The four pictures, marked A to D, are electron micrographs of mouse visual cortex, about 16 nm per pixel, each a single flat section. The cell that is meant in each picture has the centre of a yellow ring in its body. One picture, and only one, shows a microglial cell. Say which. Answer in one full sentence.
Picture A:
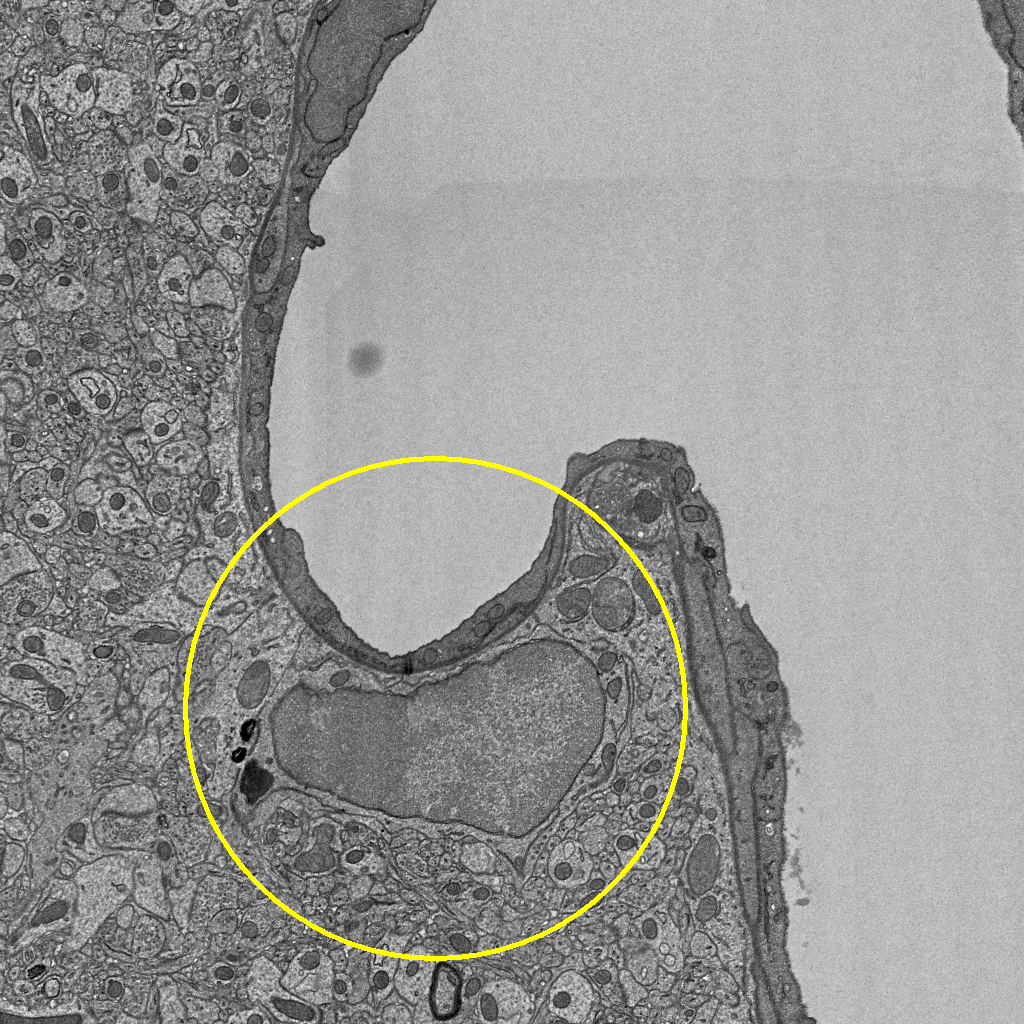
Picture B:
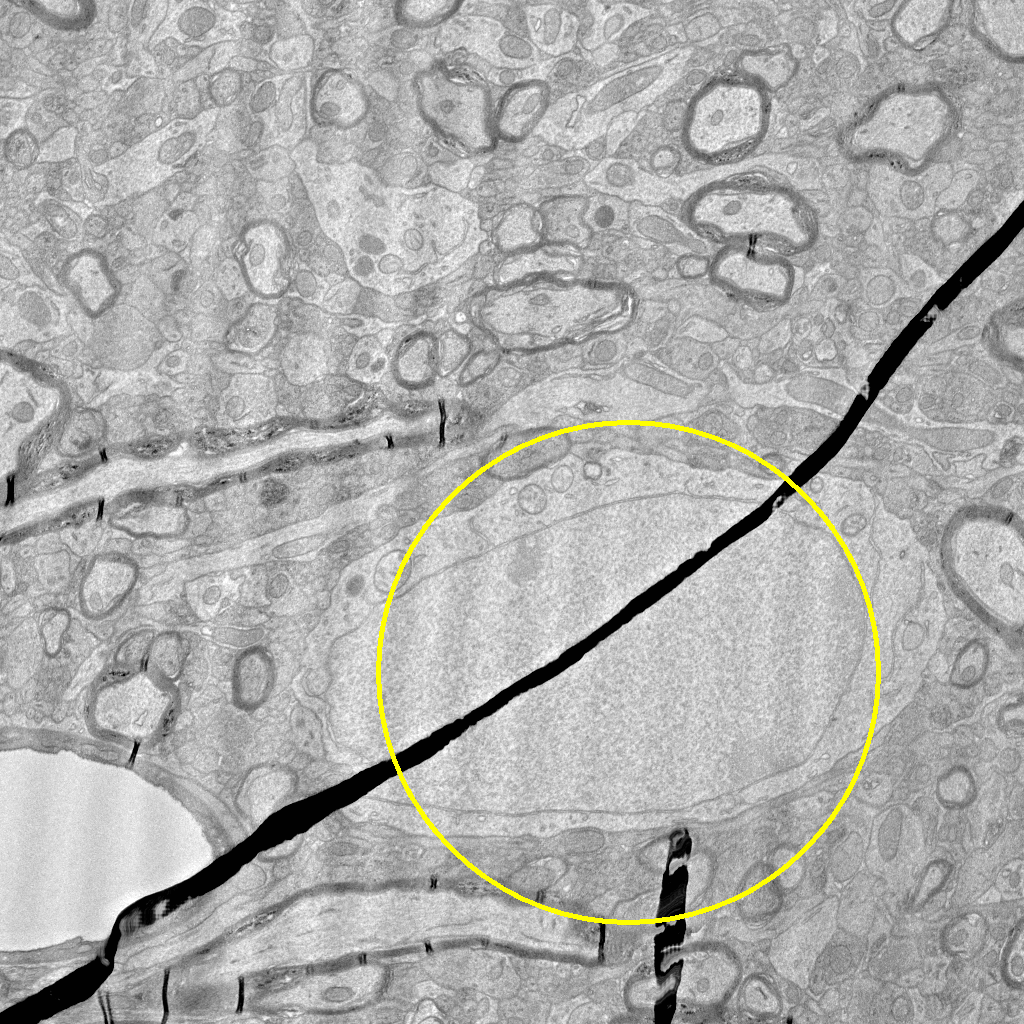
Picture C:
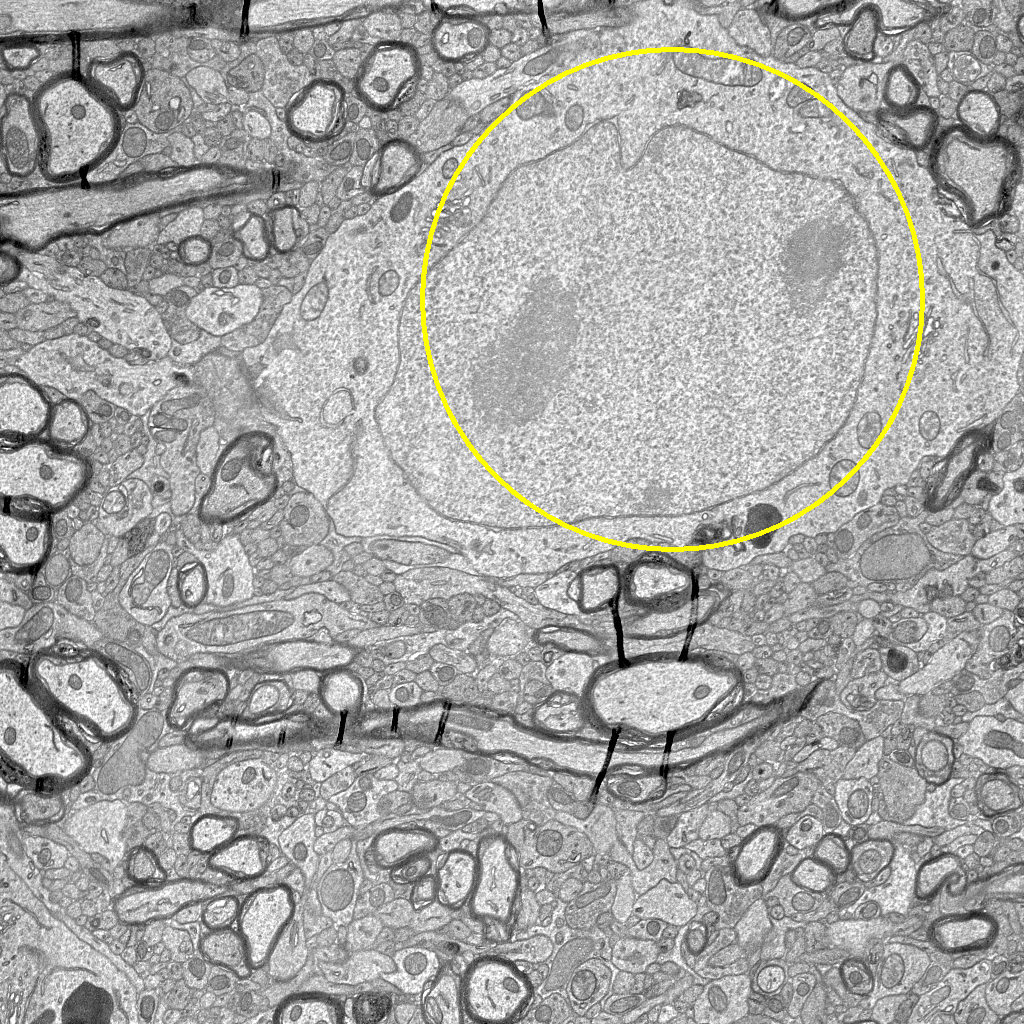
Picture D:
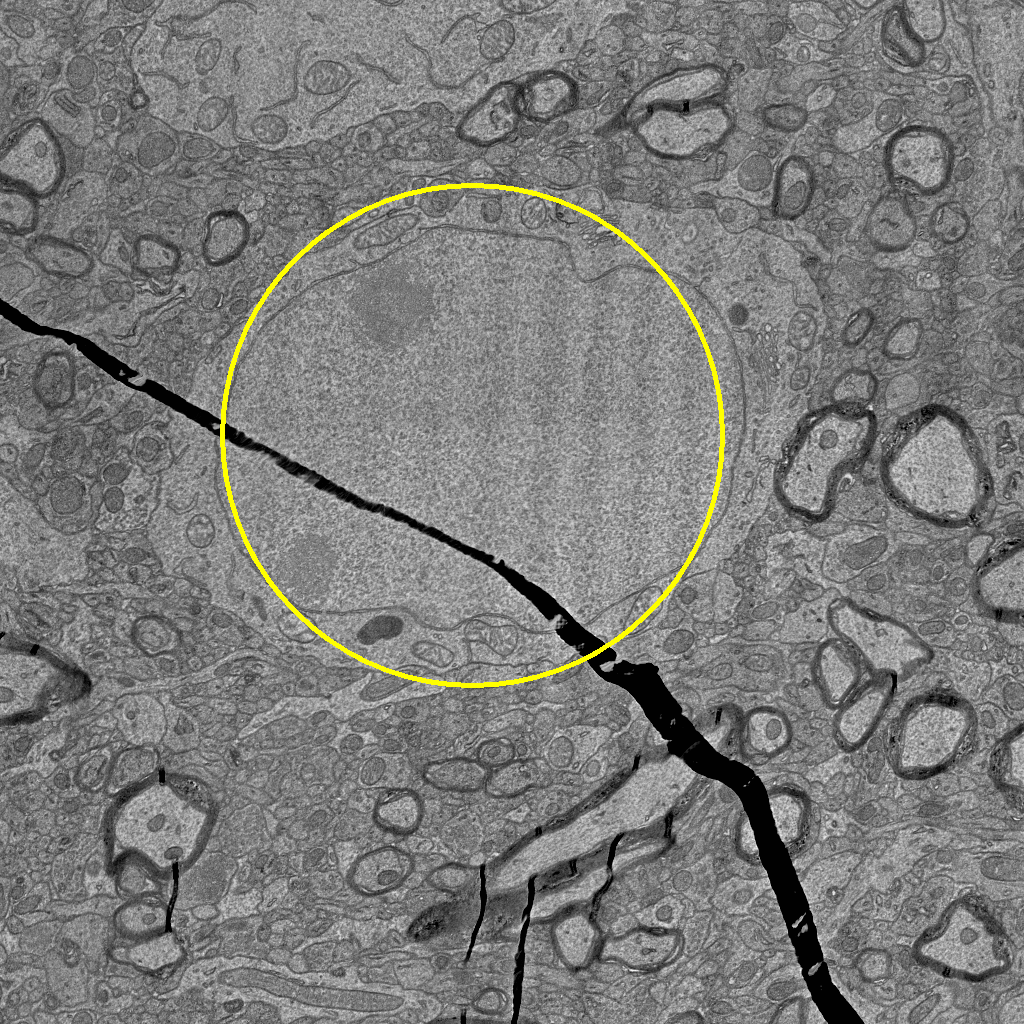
It is picture A that shows the microglial cell.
